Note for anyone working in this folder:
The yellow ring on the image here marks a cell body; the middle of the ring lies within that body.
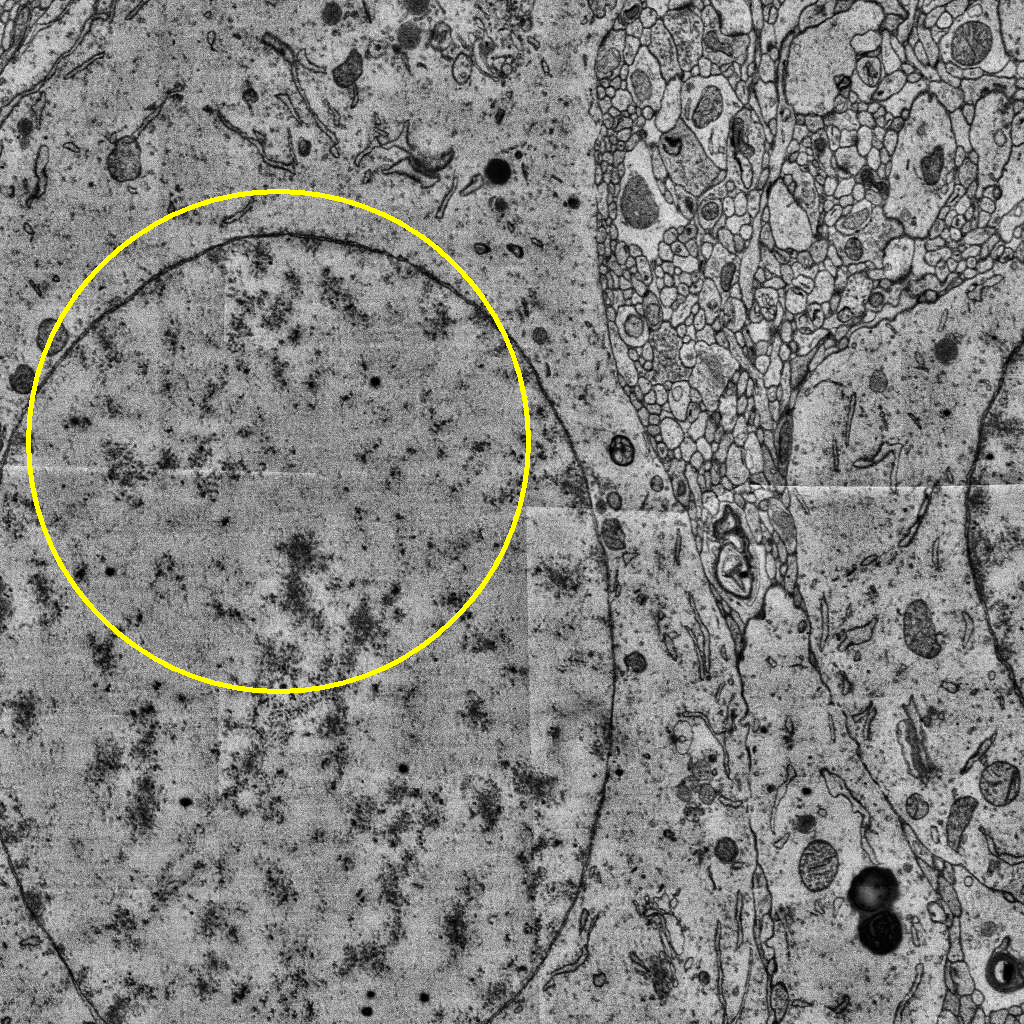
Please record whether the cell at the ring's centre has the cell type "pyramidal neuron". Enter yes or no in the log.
yes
